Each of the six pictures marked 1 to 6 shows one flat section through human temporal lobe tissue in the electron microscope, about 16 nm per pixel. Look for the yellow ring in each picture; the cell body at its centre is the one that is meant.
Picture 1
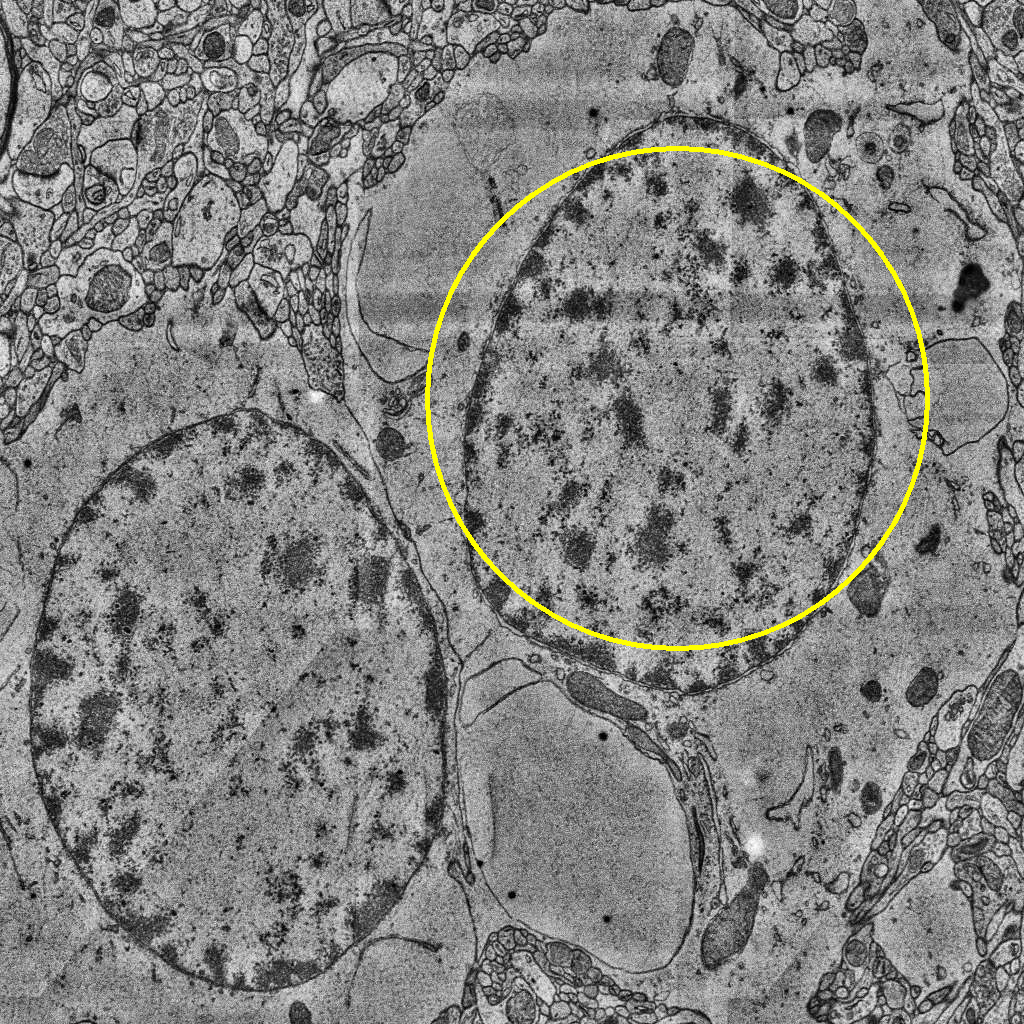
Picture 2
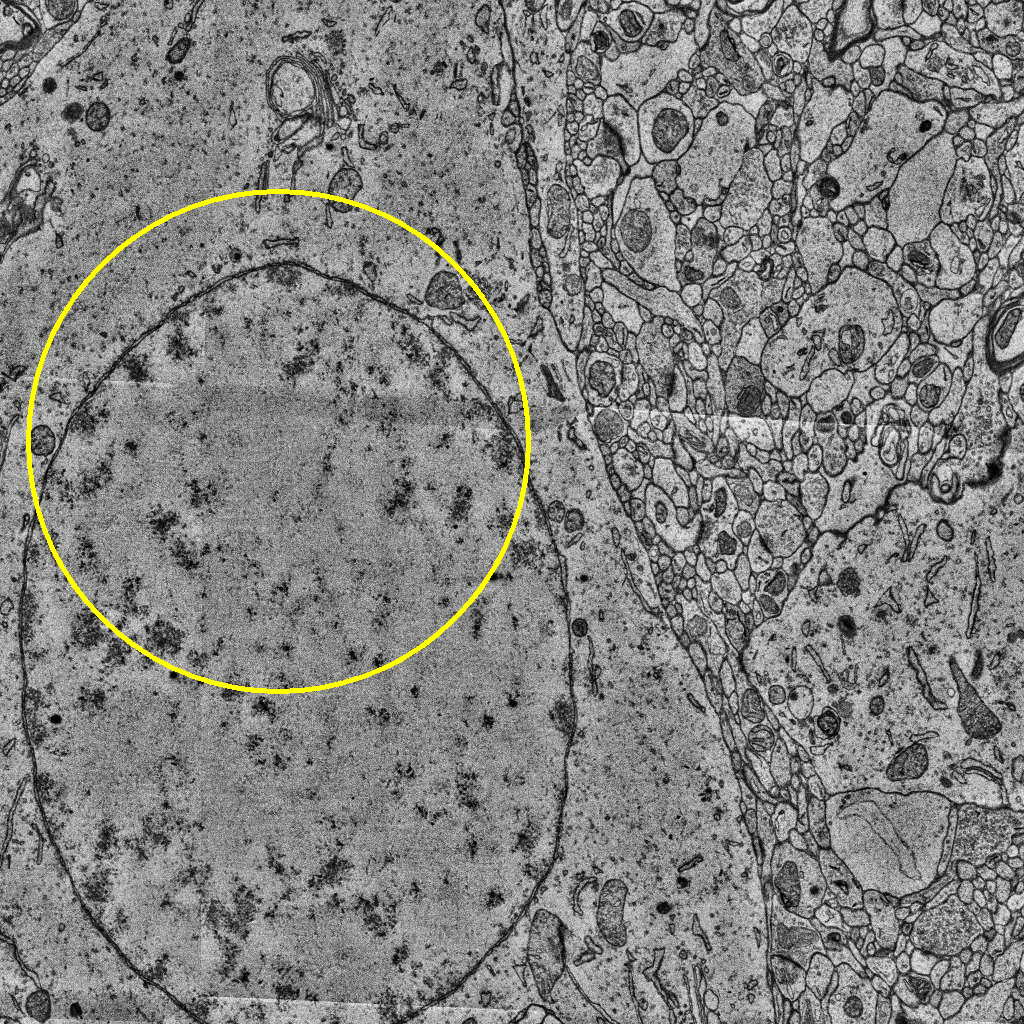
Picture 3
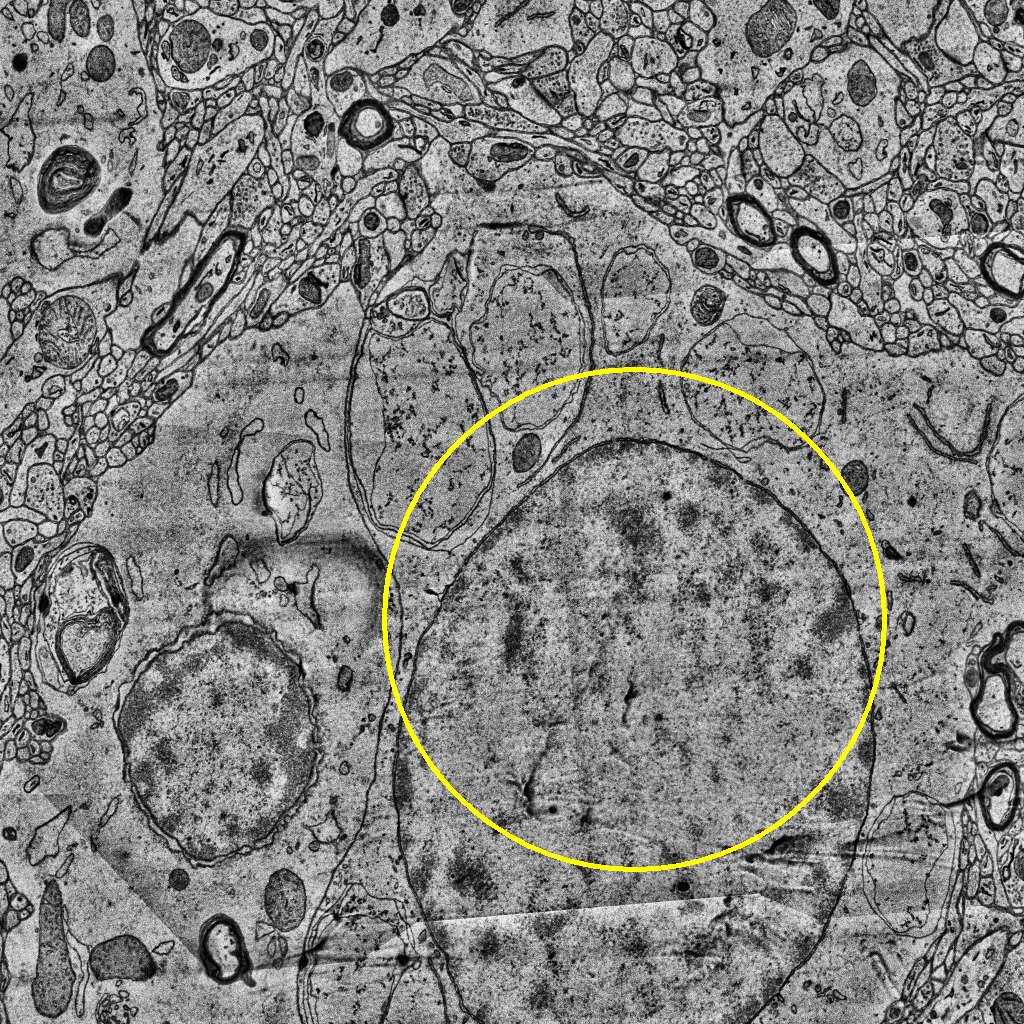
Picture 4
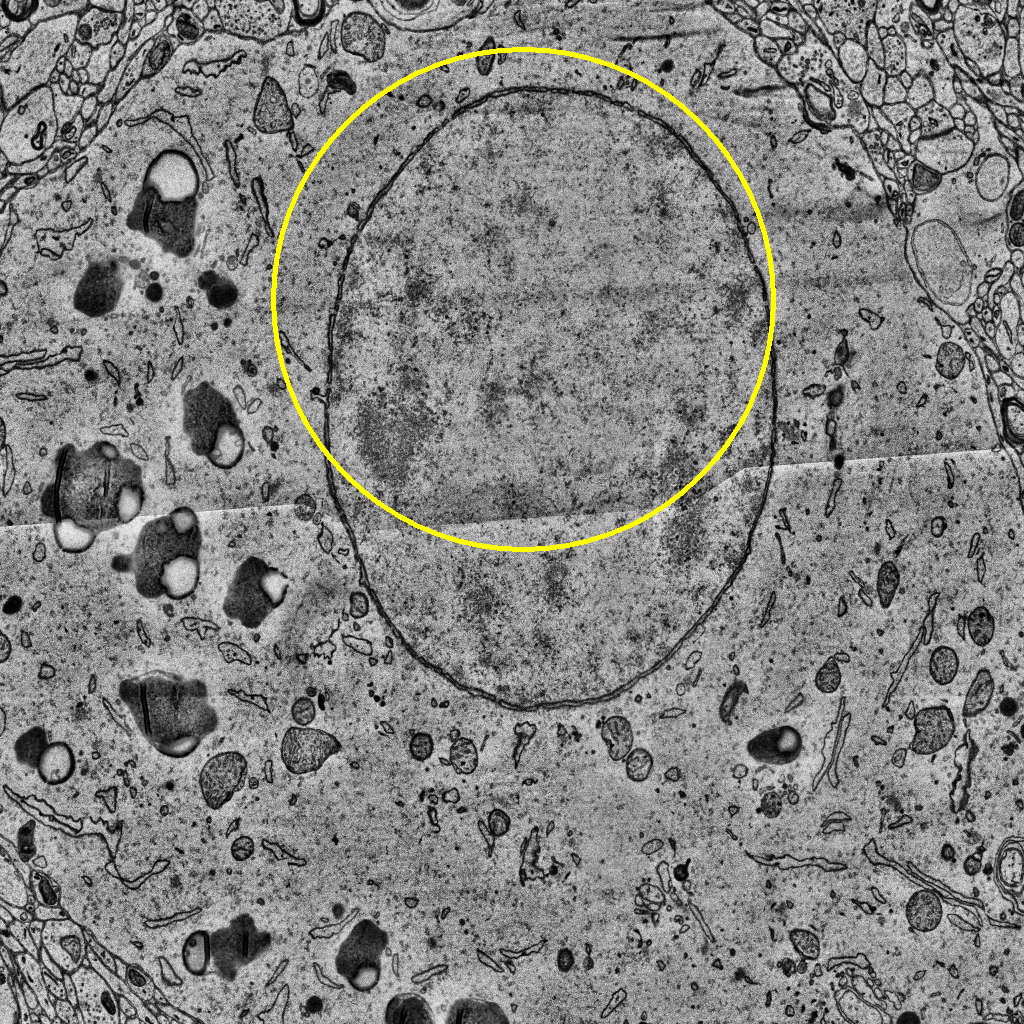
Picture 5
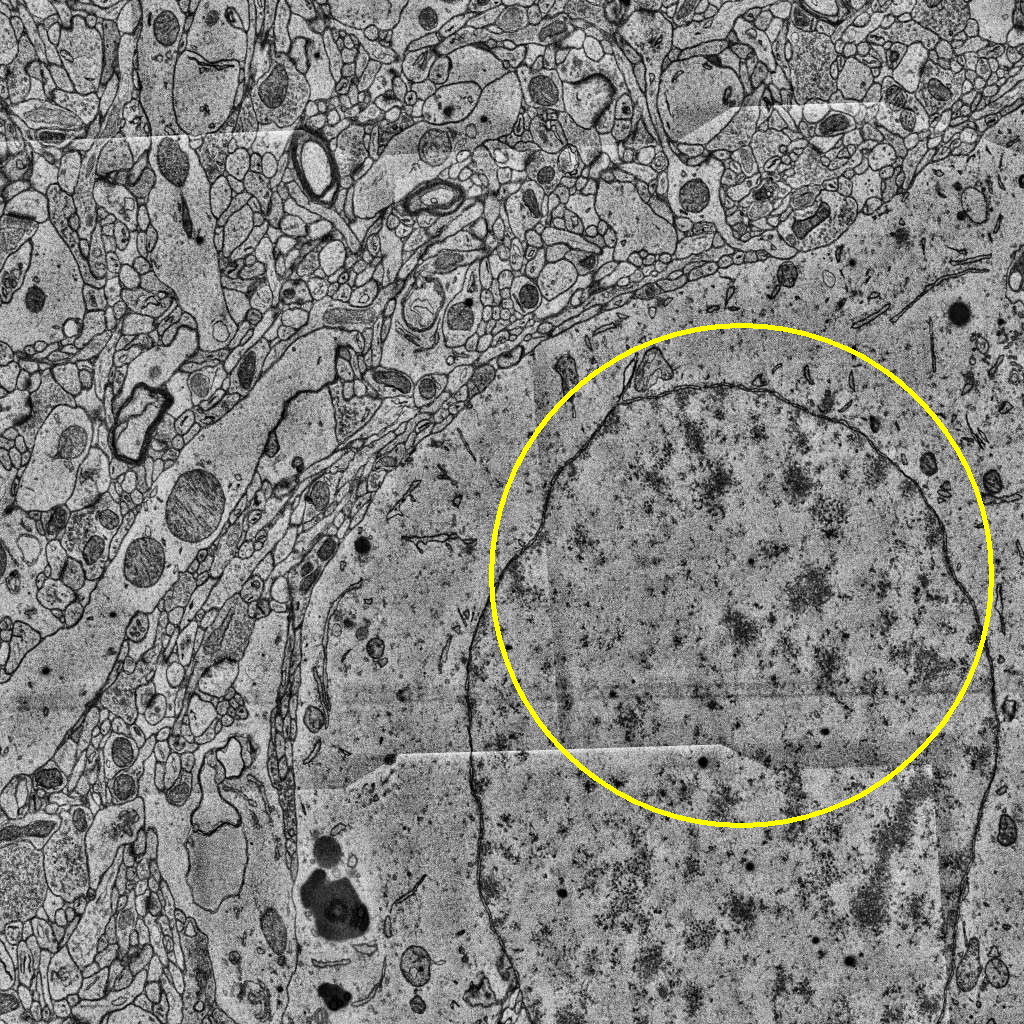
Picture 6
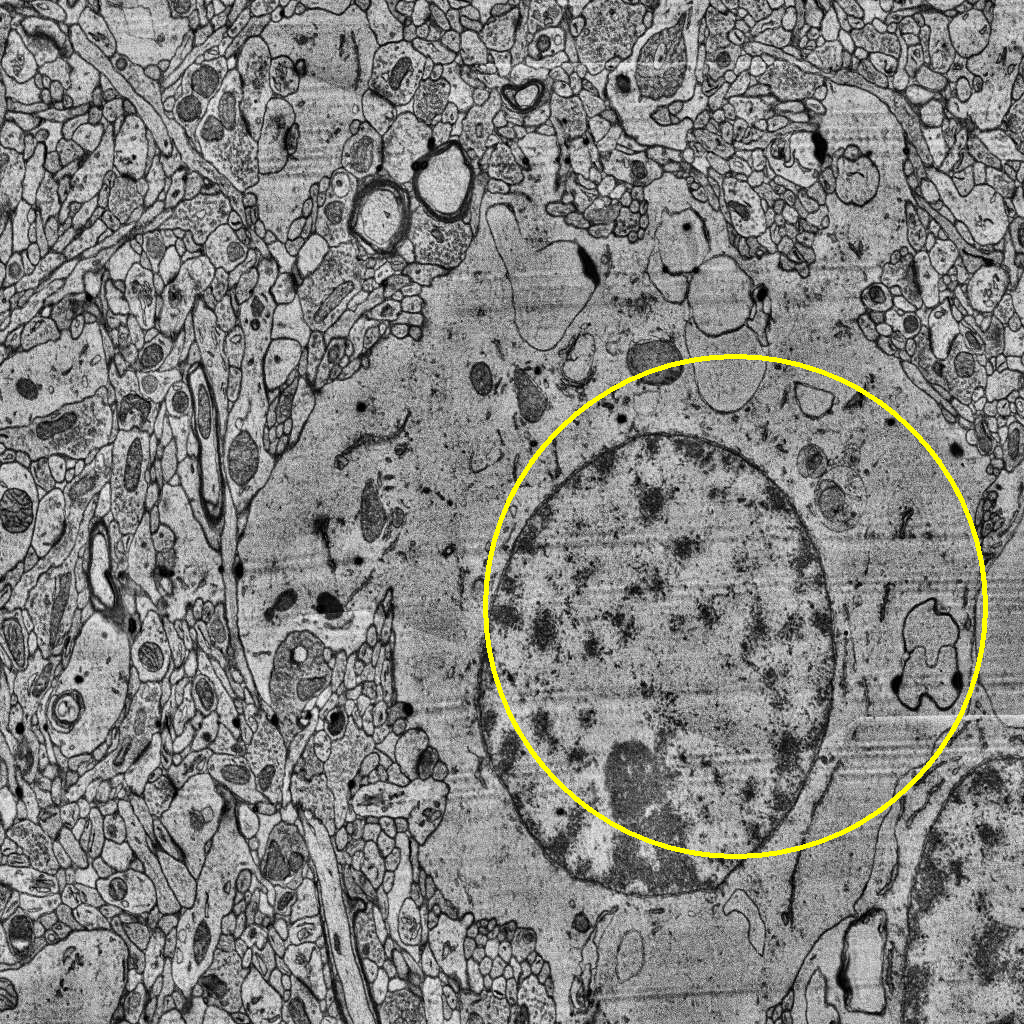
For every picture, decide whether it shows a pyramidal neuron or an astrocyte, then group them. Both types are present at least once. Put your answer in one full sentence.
Pictures 2, 4 and 5 show pyramidal neurons, while pictures 1, 3 and 6 show astrocytes.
